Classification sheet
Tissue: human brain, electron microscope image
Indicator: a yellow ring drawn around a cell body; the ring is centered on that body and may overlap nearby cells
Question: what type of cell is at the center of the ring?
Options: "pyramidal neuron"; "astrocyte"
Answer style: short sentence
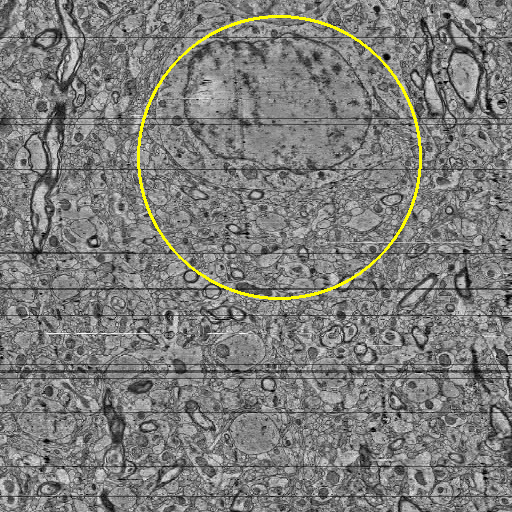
At the ring's center is a pyramidal neuron.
